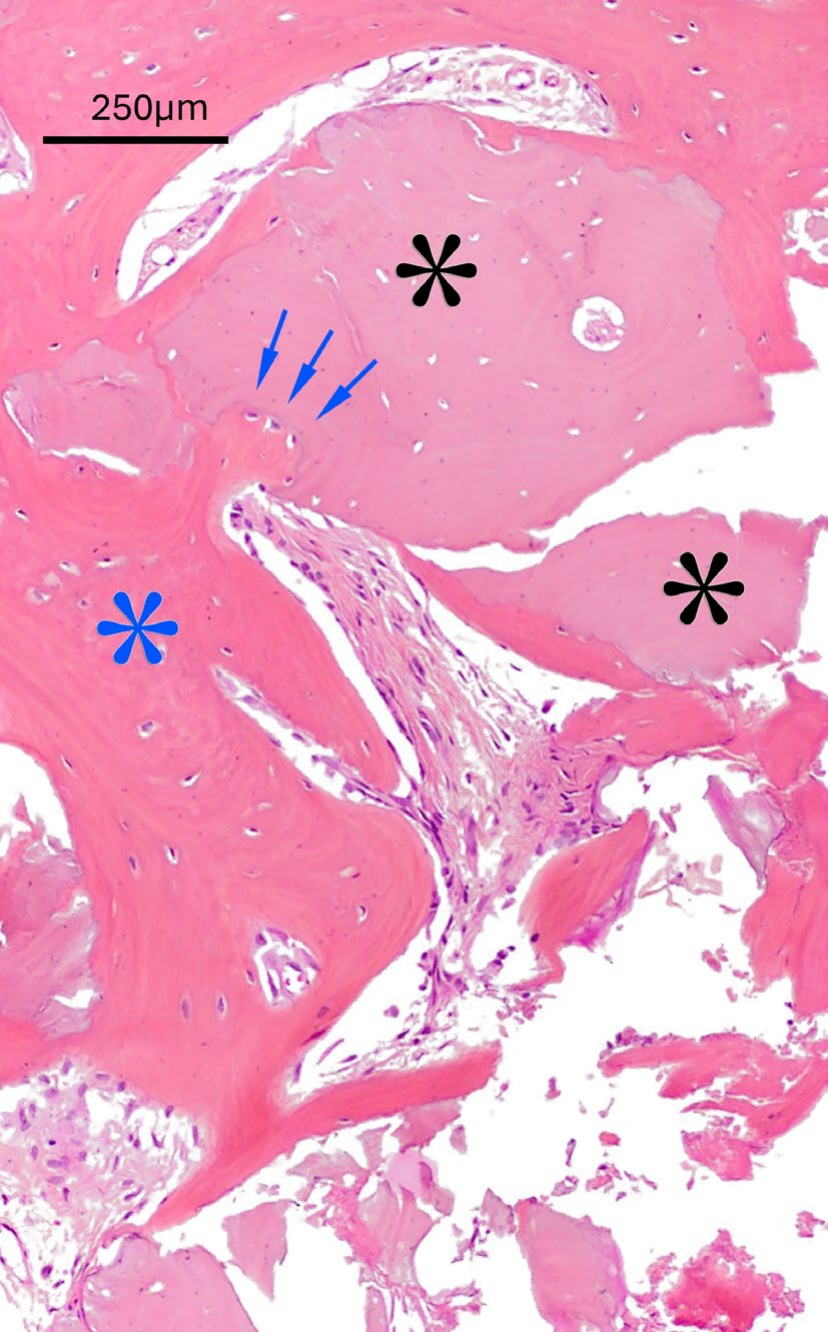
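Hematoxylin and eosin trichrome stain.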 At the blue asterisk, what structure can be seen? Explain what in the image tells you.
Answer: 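Advancing bone formation front. Deeper pink bone with many cell lacunae. It joins directly onto the paler pink material.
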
